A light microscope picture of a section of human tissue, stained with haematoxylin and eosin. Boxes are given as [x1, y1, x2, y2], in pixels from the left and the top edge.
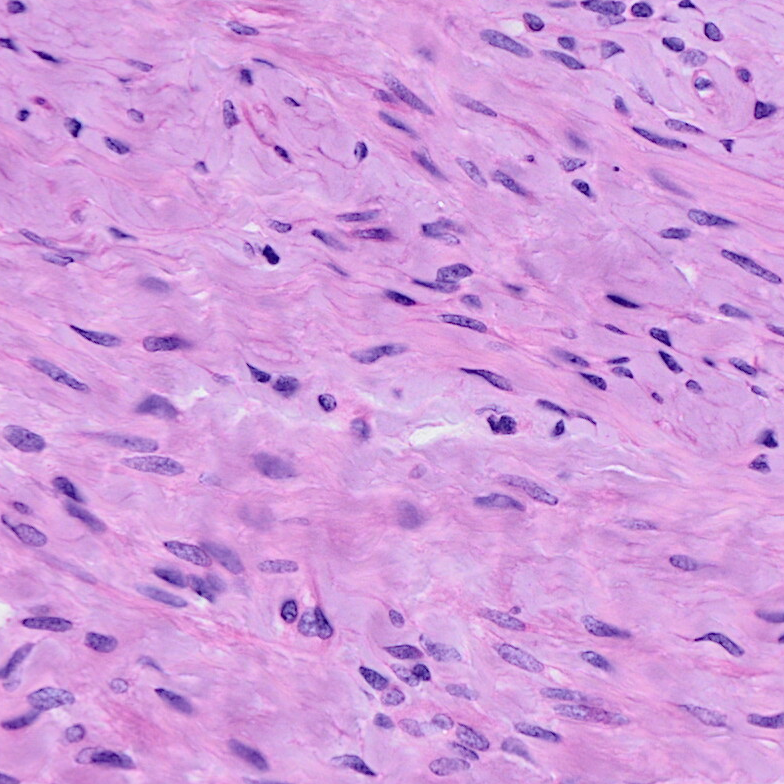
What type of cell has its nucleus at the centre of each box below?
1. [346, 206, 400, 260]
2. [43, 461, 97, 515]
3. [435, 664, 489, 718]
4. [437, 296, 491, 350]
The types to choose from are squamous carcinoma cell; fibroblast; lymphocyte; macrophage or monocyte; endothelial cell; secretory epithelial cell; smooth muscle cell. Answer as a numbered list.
1. smooth muscle cell
2. fibroblast
3. fibroblast
4. fibroblast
